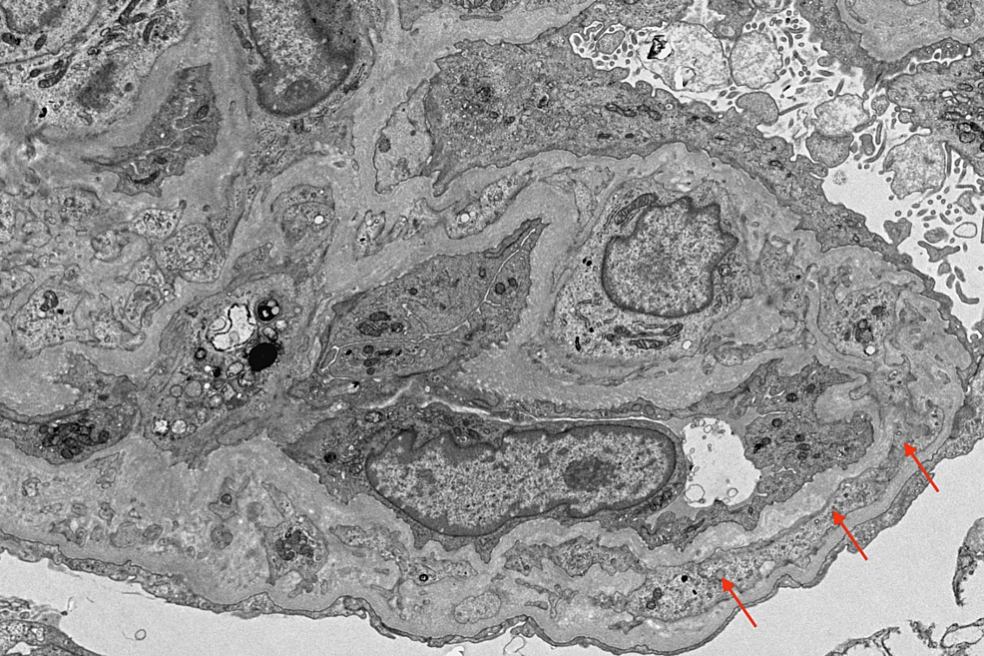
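This transmission electron micrograph shows a glomerular capillary loop. Several cells with large oval or indented nuclei and finely granular chromatin fill the loop, set in abundant pale-grey matrix-like material. Along the lower right outer edge, the basement membrane is split into two parallel layers, with a thin band of cell cytoplasm containing small organelles lying between them. Toward the upper right, the space outside the loop holds many small, rounded and irregular cell profiles. One cell on the left contains vacuoles and dense, dark round inclusions.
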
